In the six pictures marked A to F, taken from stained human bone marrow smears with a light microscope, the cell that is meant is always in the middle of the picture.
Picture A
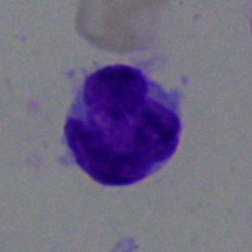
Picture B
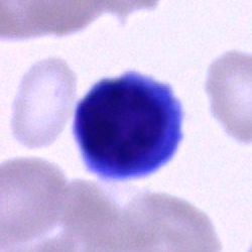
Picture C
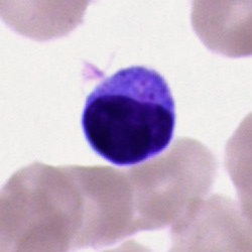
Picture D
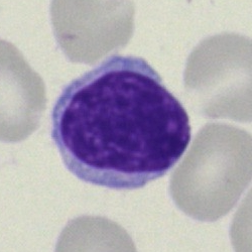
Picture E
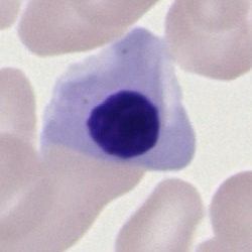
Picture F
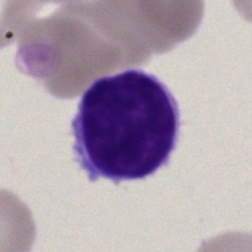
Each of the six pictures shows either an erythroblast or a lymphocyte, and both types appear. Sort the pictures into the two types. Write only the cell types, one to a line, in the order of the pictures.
lymphocyte
erythroblast
lymphocyte
lymphocyte
erythroblast
lymphocyte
